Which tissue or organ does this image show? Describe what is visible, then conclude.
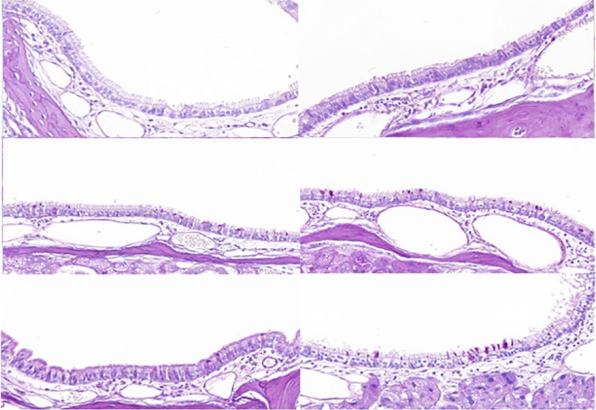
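A columnar epithelial lining faces an empty lumen. Thin connective tissue with vessels and bone lies beneath the epithelium.
Hence: sinonasal mucosa.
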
